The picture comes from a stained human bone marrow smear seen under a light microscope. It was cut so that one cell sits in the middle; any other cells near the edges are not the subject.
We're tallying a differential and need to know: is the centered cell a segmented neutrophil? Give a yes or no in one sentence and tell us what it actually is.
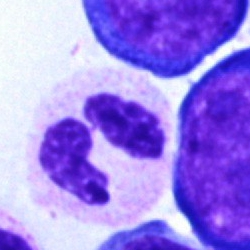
Yes, in the centre of this field sits a segmented neutrophil.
